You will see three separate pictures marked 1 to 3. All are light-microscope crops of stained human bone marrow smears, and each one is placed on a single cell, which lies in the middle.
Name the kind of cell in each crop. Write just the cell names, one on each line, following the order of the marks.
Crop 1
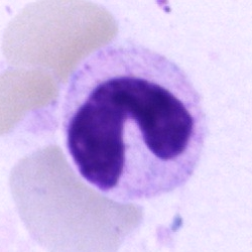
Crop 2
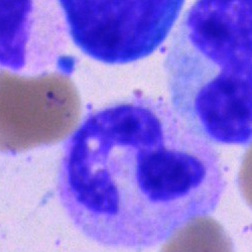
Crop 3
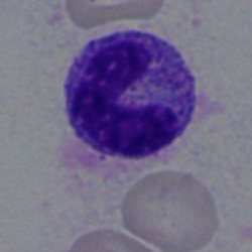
band neutrophil
segmented neutrophil
band neutrophil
